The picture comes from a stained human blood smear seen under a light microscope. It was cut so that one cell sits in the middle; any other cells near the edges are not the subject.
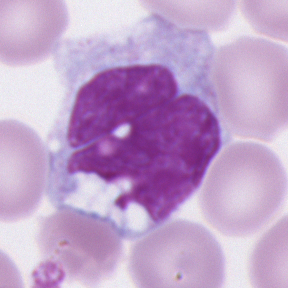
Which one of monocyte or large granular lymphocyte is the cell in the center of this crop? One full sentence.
The cell found in the middle of this crop is a monocyte.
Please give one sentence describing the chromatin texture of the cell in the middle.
The chromatin here is fine and lacks any coarse clumps.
